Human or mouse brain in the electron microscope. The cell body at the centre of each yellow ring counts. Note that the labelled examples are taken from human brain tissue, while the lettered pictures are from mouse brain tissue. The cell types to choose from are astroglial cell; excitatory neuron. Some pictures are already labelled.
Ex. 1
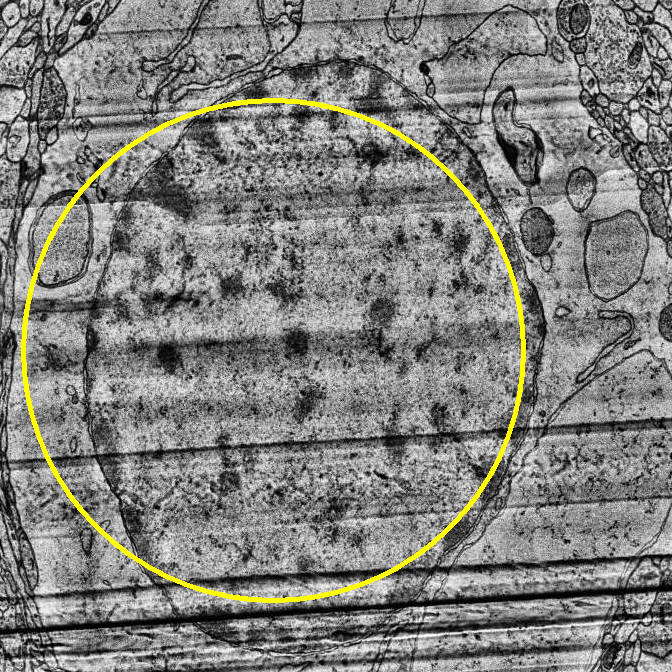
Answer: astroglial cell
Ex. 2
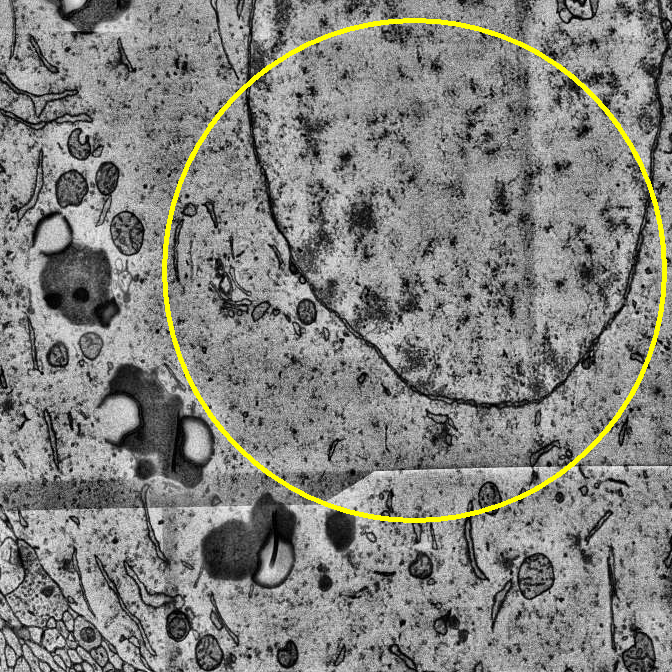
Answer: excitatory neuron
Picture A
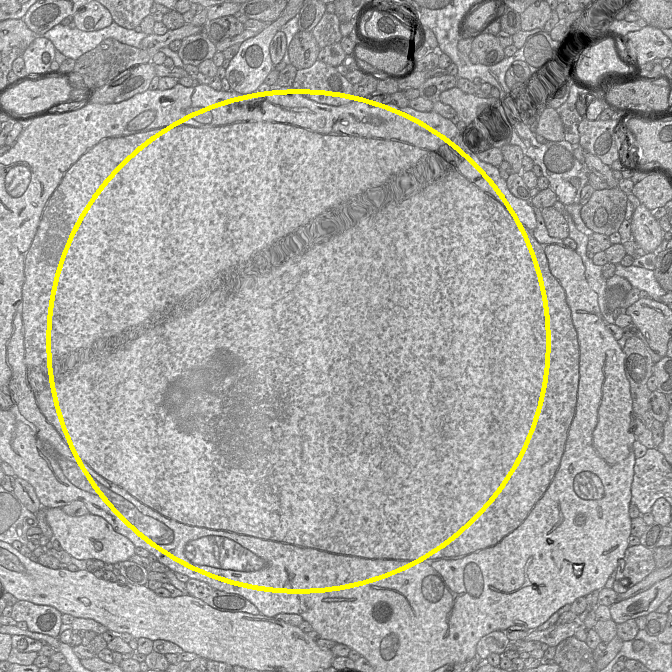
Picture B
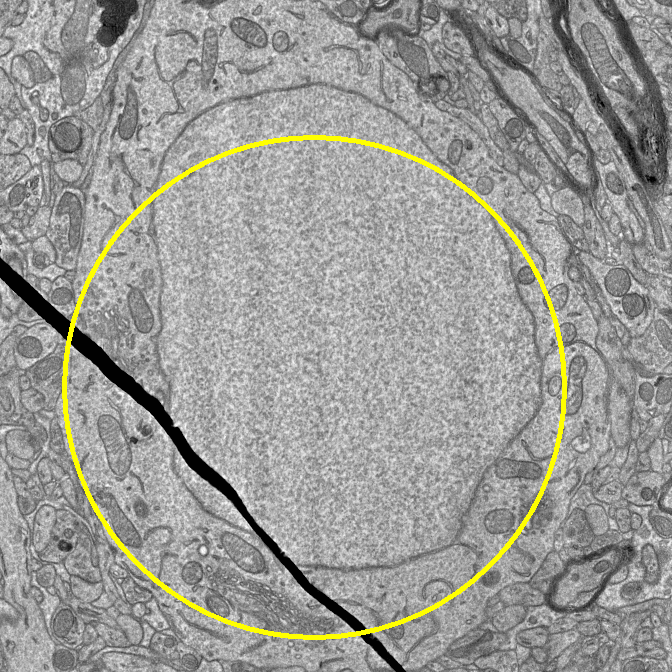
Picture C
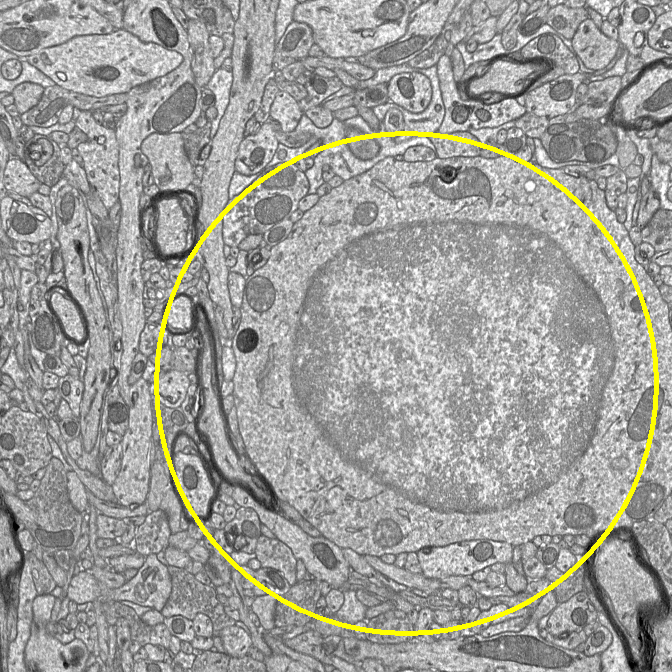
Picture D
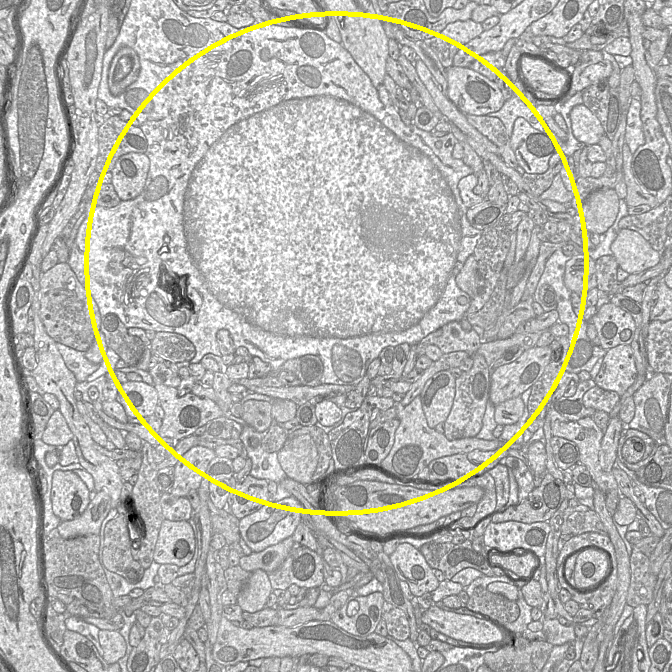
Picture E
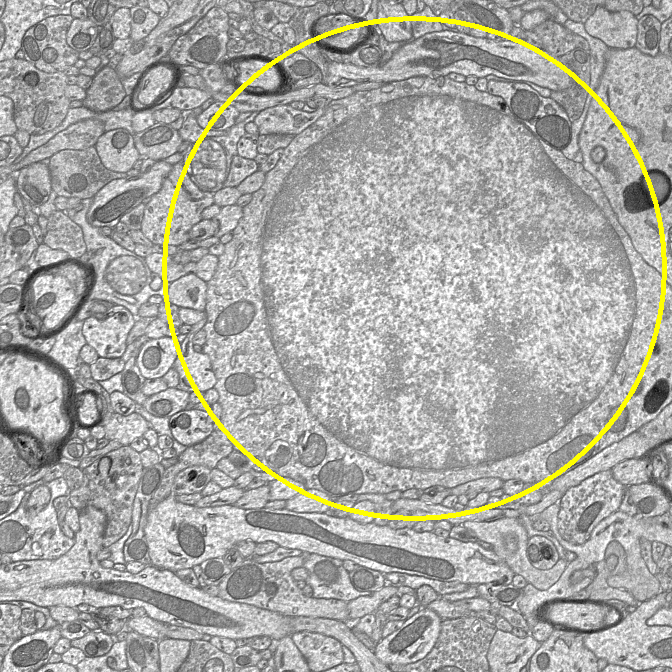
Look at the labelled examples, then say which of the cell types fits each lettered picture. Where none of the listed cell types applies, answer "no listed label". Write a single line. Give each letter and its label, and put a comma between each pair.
A excitatory neuron, B excitatory neuron, C no listed label, D astroglial cell, E no listed label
